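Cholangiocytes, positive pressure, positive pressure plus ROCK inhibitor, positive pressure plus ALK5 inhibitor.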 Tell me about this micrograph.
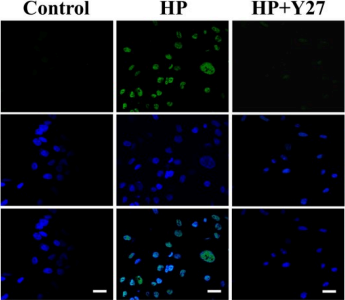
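The nuclei are scattered, round to oval, and vary in size. Bright green fluorescence fills the nuclei in the second column only. The other columns show little or no green signal.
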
